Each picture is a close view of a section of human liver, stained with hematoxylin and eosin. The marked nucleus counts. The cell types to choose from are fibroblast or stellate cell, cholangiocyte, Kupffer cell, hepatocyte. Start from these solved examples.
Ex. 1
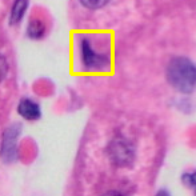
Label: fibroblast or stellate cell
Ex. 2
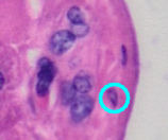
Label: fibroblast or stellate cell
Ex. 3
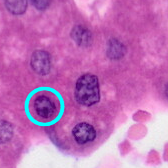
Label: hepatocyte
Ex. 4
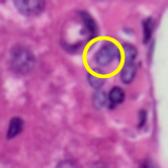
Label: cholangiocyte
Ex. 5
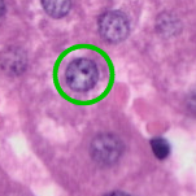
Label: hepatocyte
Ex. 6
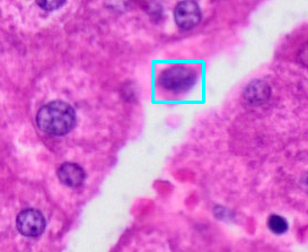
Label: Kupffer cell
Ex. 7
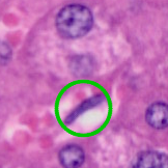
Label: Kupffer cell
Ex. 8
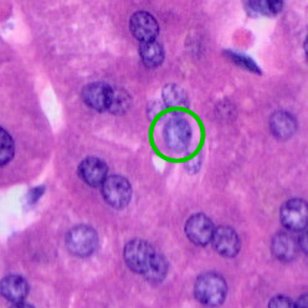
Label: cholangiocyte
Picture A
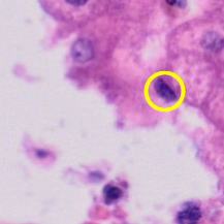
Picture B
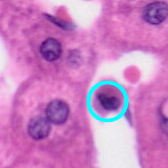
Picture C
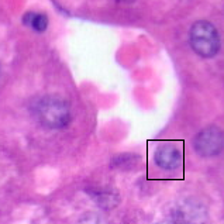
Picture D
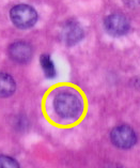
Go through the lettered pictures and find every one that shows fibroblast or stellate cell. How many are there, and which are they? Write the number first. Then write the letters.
1: A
